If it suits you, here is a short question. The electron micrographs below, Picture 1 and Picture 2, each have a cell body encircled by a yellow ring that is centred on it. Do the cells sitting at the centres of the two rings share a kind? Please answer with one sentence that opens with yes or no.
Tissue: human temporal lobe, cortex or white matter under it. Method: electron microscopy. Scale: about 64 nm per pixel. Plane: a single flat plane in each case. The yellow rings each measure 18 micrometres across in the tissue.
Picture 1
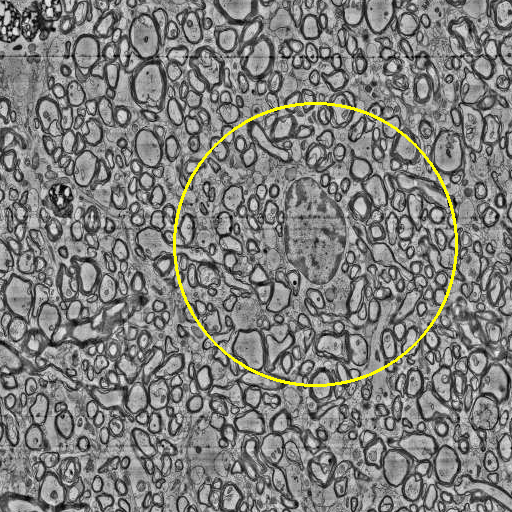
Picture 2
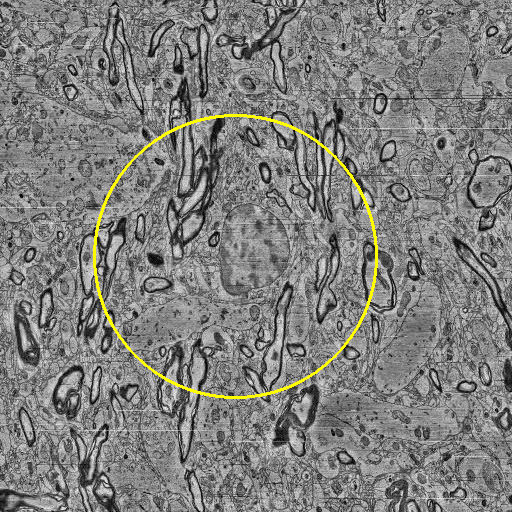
Yes, the two cells sitting at the ring centres share a single kind.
